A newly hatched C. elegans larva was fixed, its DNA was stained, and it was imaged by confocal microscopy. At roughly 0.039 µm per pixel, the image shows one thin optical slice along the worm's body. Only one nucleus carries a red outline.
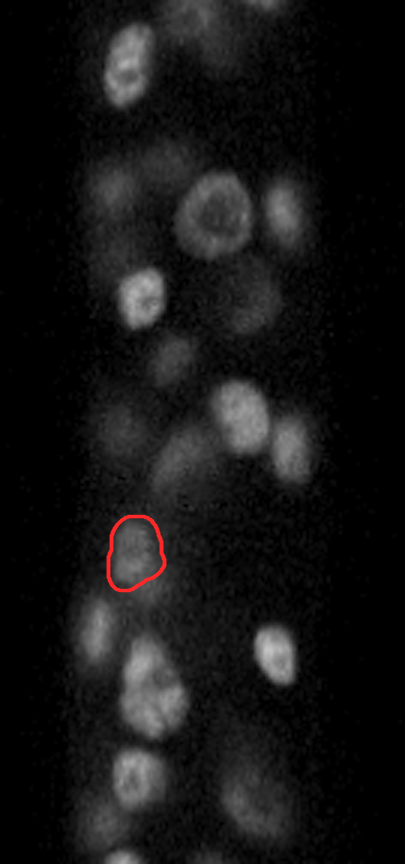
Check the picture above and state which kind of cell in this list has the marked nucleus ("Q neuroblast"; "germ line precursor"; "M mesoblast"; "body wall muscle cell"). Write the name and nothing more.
body wall muscle cell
